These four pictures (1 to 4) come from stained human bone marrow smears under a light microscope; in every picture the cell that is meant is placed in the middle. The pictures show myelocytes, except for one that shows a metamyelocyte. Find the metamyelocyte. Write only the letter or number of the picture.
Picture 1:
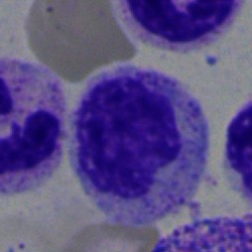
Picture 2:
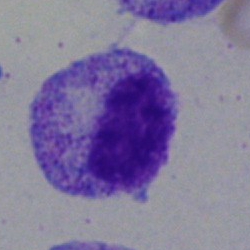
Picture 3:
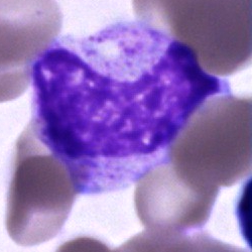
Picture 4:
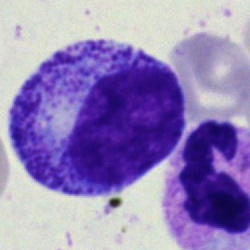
3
